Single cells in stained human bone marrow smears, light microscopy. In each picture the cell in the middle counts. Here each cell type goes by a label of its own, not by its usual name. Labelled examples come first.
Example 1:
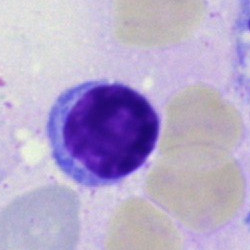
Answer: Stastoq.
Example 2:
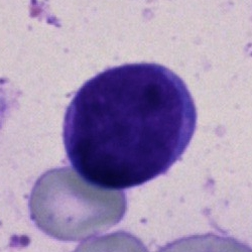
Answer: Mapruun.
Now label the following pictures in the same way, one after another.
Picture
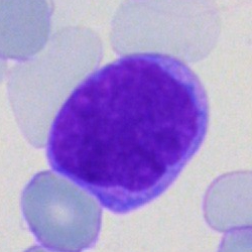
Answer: Mapruun.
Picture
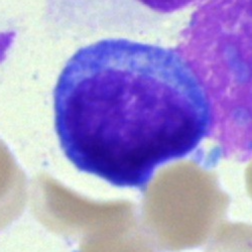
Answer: Mapruun.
